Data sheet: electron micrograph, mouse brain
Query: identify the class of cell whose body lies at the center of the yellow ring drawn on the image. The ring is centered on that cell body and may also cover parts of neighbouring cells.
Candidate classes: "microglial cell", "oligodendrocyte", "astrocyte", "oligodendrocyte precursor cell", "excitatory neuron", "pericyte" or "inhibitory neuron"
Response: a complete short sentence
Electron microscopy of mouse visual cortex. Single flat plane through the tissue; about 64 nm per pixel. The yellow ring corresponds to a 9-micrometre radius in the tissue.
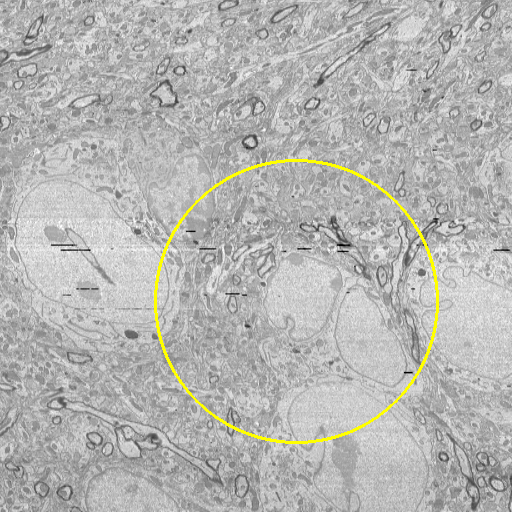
At the center of the ring lies an oligodendrocyte precursor cell.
